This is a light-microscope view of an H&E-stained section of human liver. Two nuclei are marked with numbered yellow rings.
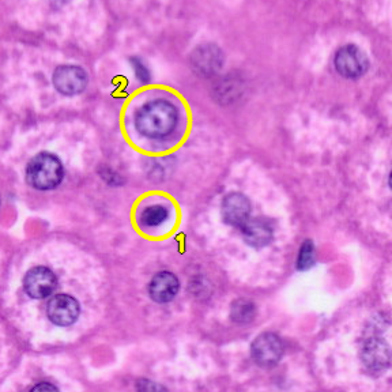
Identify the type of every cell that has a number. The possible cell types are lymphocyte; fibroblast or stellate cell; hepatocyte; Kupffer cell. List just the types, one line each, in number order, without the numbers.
lymphocyte
hepatocyte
